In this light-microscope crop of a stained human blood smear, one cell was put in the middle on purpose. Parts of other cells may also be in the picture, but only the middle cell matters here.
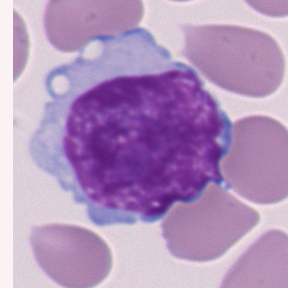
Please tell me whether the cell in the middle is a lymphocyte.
no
